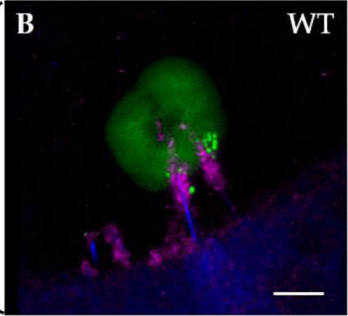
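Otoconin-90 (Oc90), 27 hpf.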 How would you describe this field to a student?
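This is the sensory patch of the inner ear with a forming ear stone tethered above it. The green body is a compact, rounded otolith floating above the epithelium, set against a dark fluid-filled space. Beneath it, purple material gathers at its base and trails down toward the epithelial surface, forming the gelatinous membrane on which the stone rests. Thin blue projections rise from the epithelium up toward the purple material, linking the sensory surface to the stone. The epithelium itself forms a faint blue band along the bottom of the field.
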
